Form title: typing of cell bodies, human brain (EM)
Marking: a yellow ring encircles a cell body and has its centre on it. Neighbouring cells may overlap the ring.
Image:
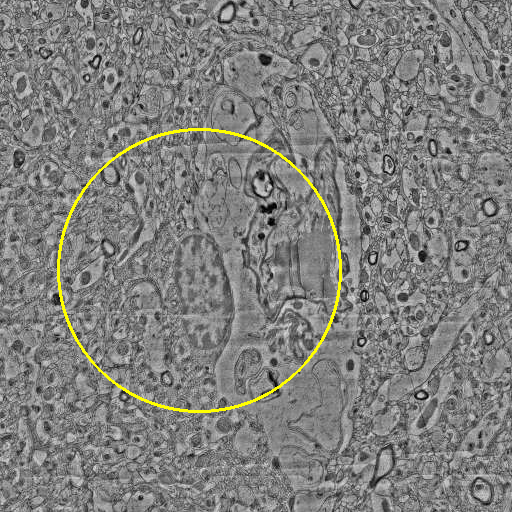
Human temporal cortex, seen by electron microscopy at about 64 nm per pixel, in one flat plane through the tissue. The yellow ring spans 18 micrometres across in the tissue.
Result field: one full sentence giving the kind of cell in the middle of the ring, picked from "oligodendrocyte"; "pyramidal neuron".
In the picture, the ring is centred on an oligodendrocyte, whose cell body it encircles.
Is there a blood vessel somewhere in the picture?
Yes.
